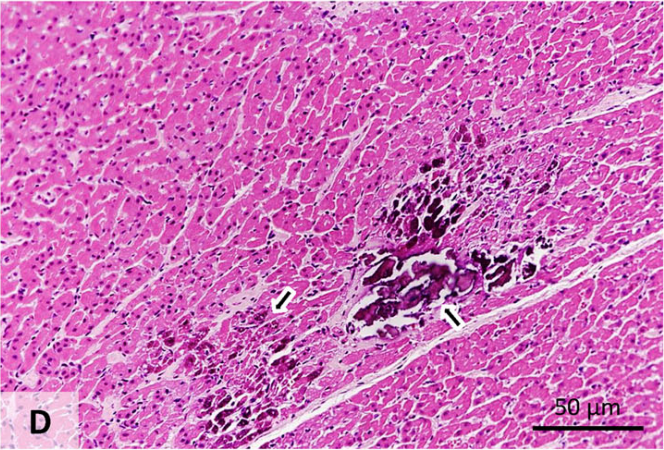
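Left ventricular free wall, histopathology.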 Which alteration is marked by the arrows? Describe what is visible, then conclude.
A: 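Dystrophic mineralization. Dark purple to nearly black, clumped, fragmented deposits lie among the pink muscle fibres.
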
